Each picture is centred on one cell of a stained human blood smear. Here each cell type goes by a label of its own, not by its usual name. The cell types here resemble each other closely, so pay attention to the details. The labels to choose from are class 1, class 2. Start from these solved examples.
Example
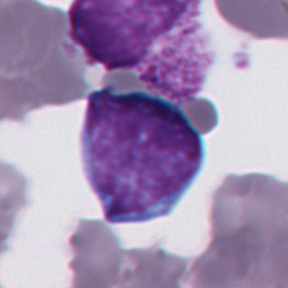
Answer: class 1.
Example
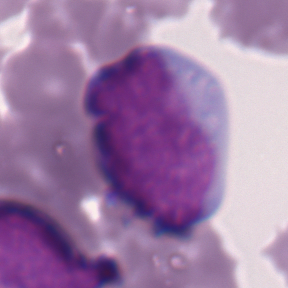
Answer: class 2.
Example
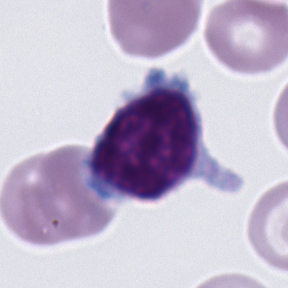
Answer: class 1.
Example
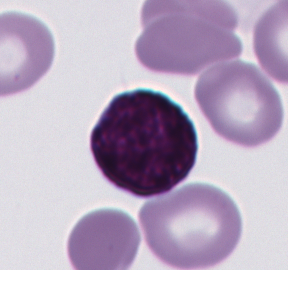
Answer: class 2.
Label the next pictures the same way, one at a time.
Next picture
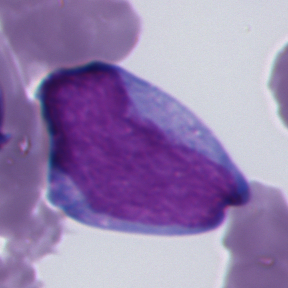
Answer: class 2.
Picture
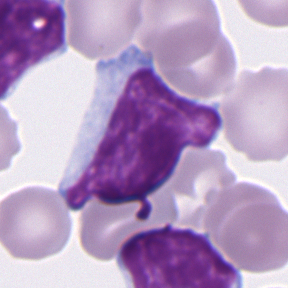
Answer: class 1.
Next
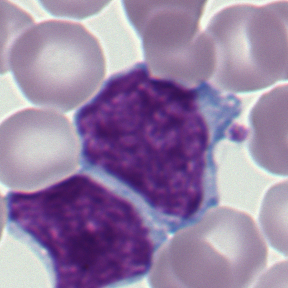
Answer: class 1.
